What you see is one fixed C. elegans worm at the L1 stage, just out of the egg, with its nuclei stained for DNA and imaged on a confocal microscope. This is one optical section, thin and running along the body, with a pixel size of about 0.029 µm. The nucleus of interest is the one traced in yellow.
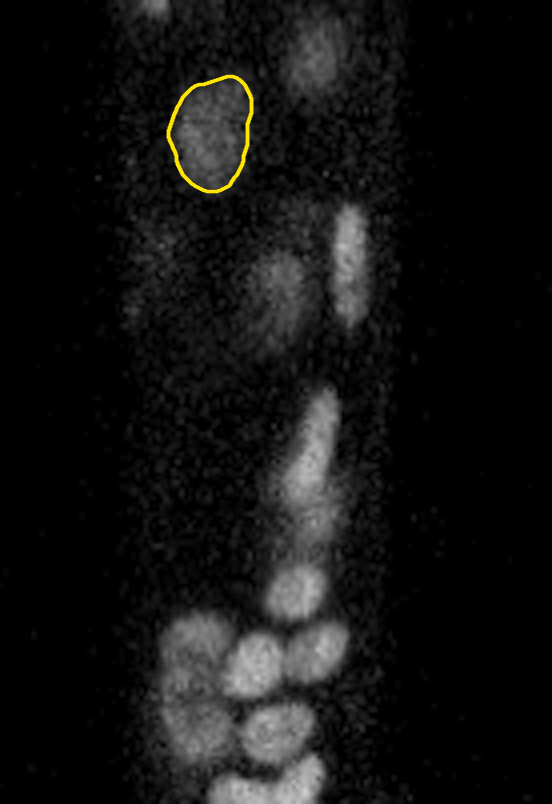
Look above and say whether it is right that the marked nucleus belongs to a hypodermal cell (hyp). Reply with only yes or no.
yes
